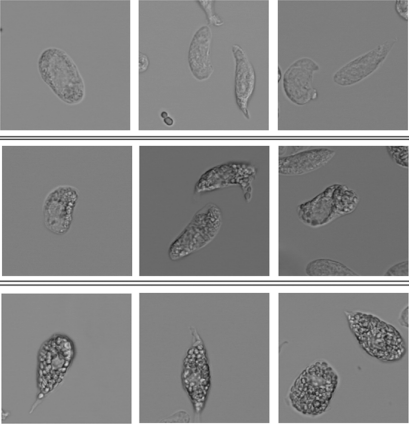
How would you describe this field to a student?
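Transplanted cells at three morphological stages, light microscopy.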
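These are single free blood cells, hemocytes, shown in a grid, each cell oval to spindle-shaped and some tapering to a fine point at one end. In the middle row the cells hold a moderate number of medium-sized granules. In the bottom row the cells are filled with many large, refractile granules, as mature granular cells are.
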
